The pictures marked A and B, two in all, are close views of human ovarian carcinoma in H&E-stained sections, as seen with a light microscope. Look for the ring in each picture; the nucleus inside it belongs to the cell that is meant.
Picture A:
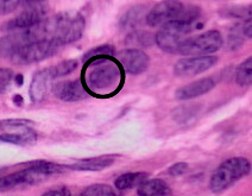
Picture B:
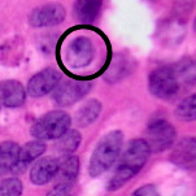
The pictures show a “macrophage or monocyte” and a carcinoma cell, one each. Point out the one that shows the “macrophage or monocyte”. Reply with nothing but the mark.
B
